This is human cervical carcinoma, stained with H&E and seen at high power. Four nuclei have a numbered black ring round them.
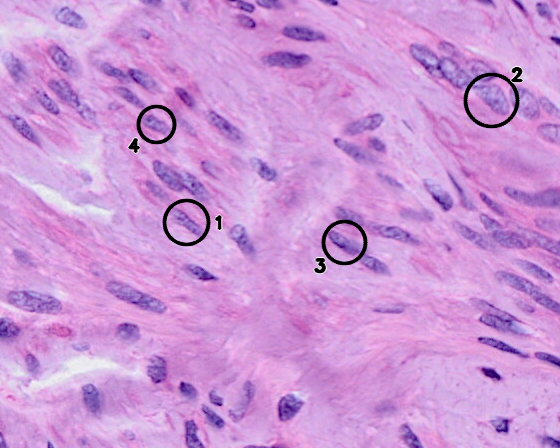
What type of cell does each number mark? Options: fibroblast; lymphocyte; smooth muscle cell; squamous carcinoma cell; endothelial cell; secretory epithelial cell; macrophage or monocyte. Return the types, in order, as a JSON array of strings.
["smooth muscle cell", "endothelial cell", "smooth muscle cell", "smooth muscle cell"]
